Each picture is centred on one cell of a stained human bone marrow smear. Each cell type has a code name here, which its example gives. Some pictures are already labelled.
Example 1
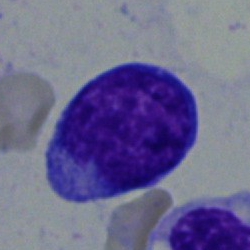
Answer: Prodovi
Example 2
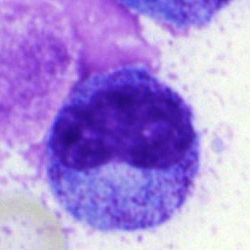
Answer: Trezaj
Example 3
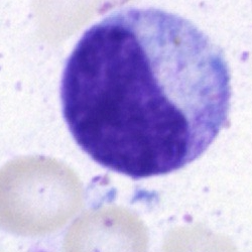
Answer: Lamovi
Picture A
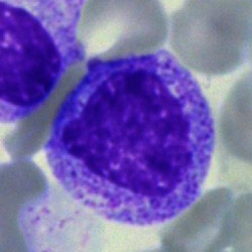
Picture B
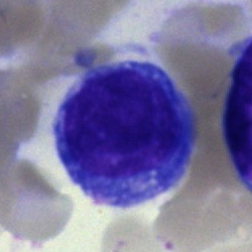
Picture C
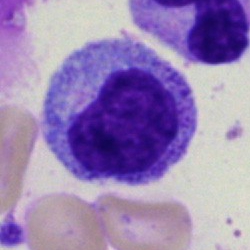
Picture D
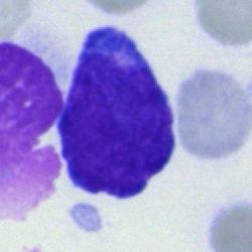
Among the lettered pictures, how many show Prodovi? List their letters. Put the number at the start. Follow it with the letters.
Count: 2 (B, D)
